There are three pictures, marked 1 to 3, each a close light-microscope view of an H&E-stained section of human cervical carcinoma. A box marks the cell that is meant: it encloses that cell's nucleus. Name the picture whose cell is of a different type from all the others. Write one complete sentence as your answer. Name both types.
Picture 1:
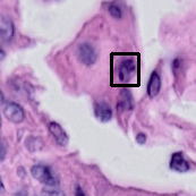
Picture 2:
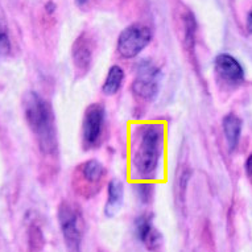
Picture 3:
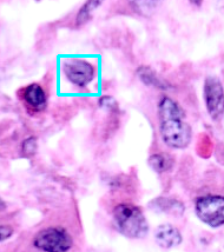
The different one is picture 1; it shows a squamous carcinoma cell, whereas all the others show “macrophages or monocytes”.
